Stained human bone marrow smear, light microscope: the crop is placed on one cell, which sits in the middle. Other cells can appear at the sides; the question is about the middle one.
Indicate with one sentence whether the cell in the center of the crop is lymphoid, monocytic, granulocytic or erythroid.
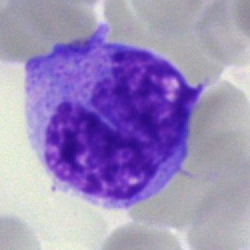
The cell at the very center of the crop belongs to the monocytic lineage.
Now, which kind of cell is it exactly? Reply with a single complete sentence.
Classified as a monocyte is the cell in the middle of this crop.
